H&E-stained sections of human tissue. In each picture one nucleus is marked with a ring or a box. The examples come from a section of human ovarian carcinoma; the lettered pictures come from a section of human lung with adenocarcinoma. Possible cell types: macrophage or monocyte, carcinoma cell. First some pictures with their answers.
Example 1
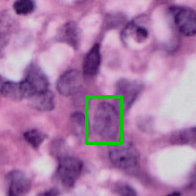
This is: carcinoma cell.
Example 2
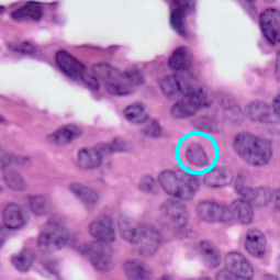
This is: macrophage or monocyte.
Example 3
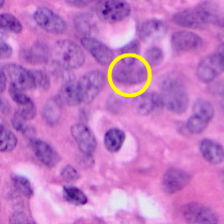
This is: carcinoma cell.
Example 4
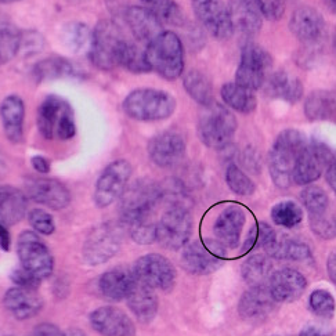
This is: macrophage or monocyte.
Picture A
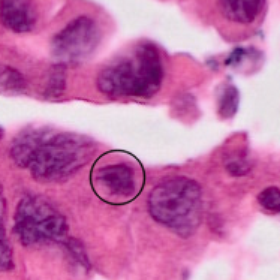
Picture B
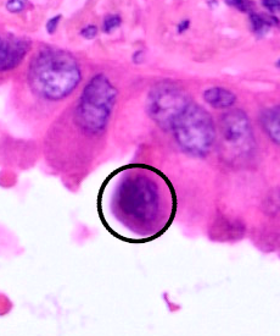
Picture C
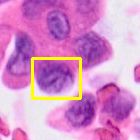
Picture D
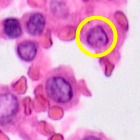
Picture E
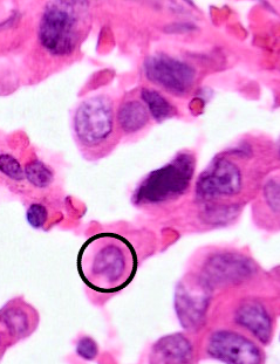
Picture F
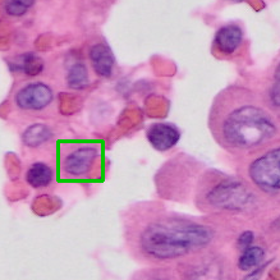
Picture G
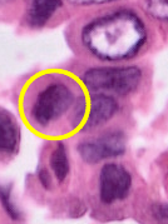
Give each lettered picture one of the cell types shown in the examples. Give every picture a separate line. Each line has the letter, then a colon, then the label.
A: carcinoma cell.
B: carcinoma cell.
C: carcinoma cell.
D: macrophage or monocyte.
E: macrophage or monocyte.
F: macrophage or monocyte.
G: carcinoma cell.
